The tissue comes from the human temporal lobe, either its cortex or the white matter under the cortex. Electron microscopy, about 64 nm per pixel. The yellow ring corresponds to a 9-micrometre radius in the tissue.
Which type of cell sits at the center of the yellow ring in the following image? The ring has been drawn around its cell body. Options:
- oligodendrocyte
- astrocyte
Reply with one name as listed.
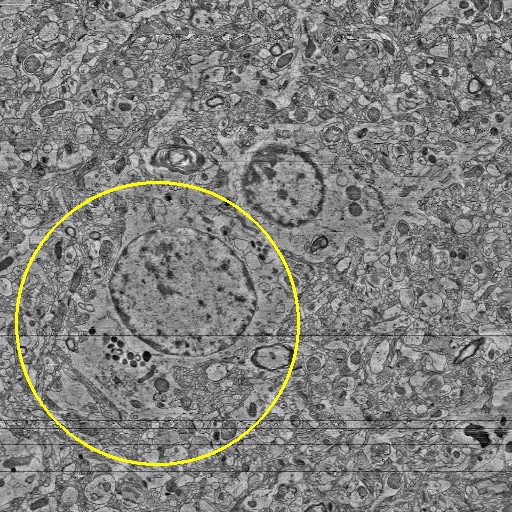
astrocyte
